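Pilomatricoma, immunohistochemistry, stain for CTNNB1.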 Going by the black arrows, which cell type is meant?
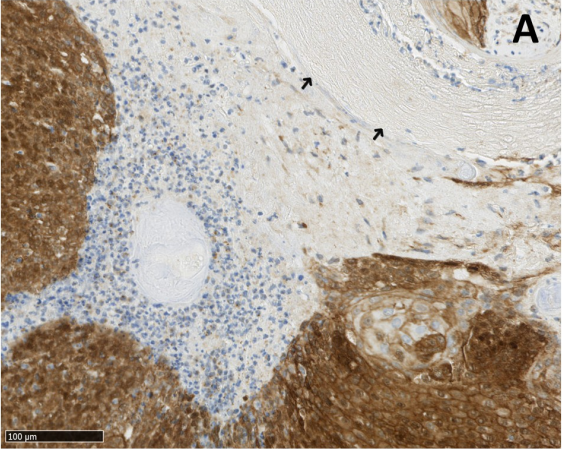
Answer: Shadow-cells.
